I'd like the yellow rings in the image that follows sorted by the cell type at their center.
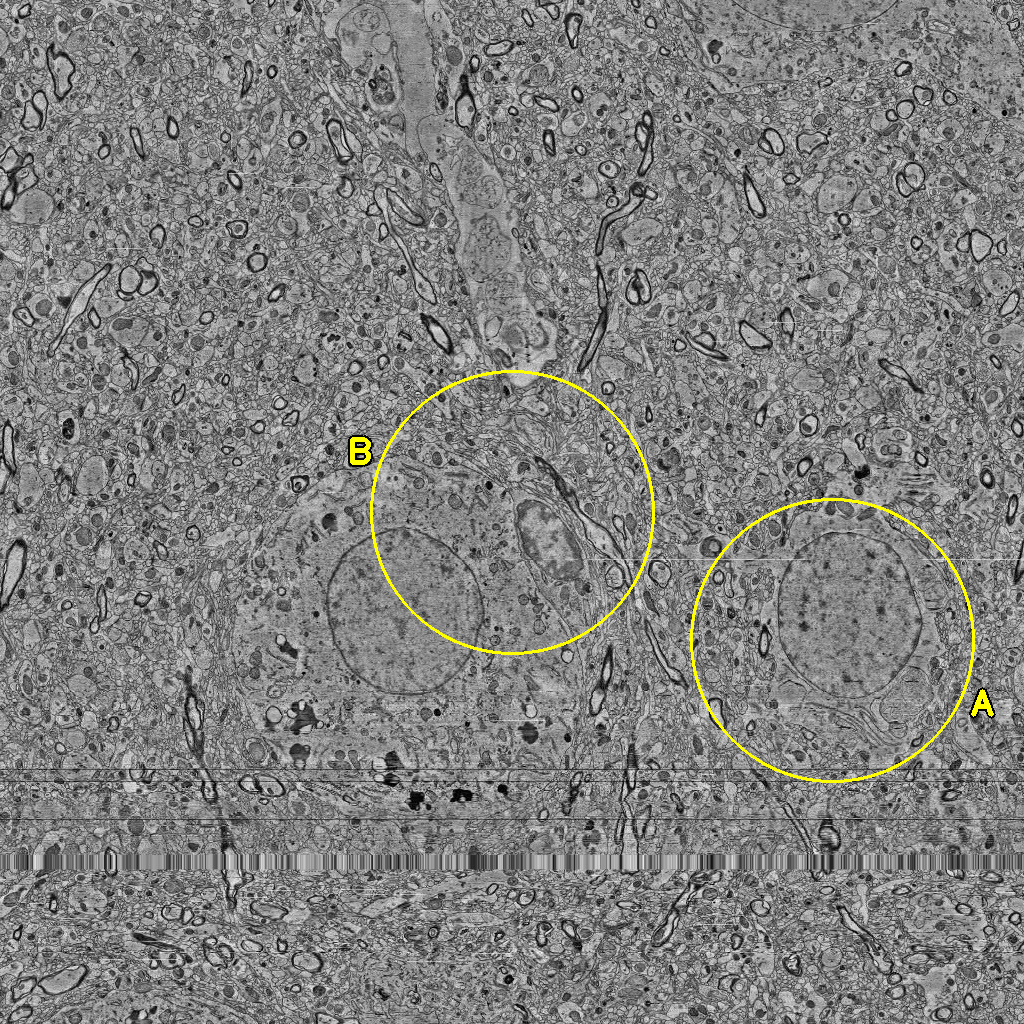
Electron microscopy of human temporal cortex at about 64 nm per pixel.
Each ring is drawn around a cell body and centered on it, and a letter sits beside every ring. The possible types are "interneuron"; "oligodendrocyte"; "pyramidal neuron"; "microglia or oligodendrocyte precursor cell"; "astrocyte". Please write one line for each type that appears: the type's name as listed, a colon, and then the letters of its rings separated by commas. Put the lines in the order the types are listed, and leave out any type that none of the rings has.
oligodendrocyte: B
astrocyte: A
